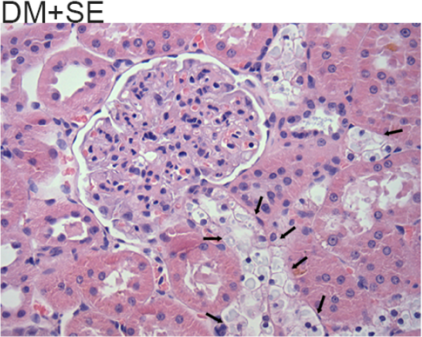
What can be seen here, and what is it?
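Kidney cortex with a glomerulus at upper left, its tuft of capillary loops and purple nuclei surrounded by a thin clear space, set among cross-sectioned renal tubules. Most tubules are lined by cuboidal cells with round purple nuclei and pink cytoplasm, but a cluster of tubules in the centre and right, marked by arrows, has cells with pale, clear, vacuolated cytoplasm. Red blood cells are seen in the glomerular capillaries and in spaces between tubules.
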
